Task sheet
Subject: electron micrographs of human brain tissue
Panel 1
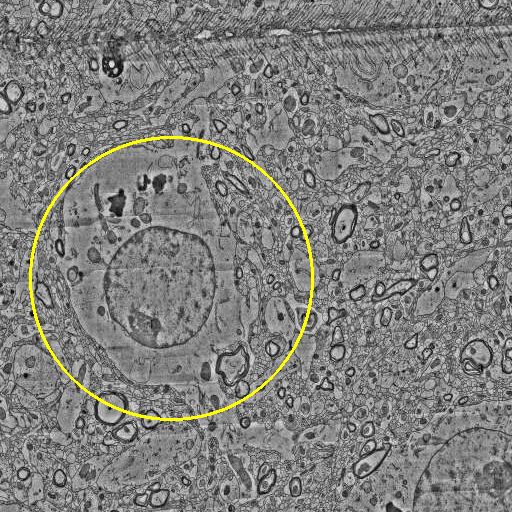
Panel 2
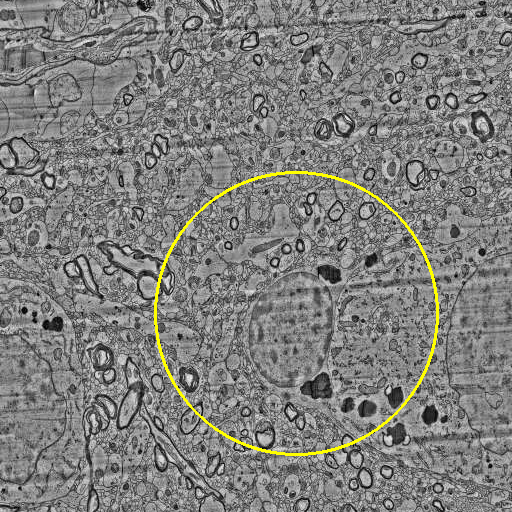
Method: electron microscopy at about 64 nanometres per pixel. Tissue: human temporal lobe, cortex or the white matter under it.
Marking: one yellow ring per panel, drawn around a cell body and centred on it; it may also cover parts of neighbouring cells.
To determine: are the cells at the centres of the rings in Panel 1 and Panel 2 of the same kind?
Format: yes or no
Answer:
no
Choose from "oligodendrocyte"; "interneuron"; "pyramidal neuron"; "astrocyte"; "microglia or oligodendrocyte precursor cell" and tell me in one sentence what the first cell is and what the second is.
What the first ring is centred on is an astrocyte; what the second ring is centred on is an oligodendrocyte.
